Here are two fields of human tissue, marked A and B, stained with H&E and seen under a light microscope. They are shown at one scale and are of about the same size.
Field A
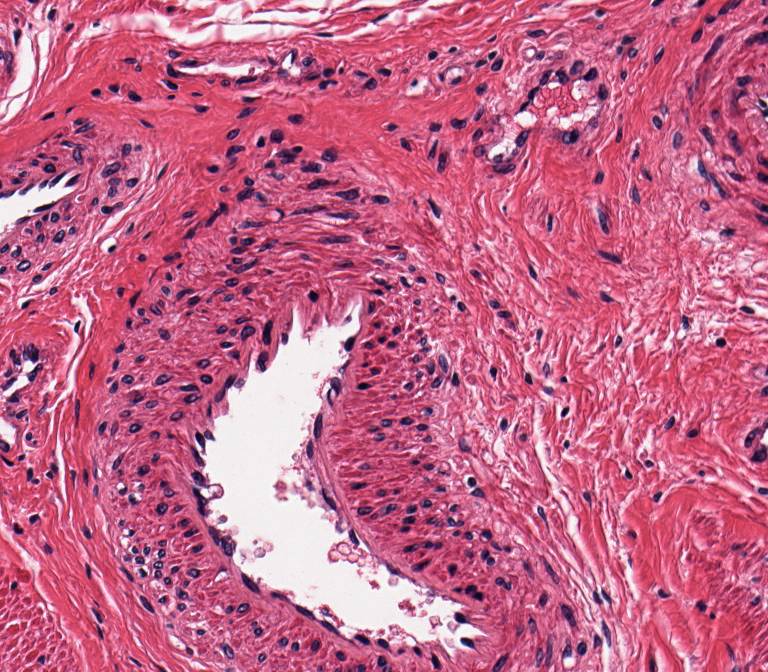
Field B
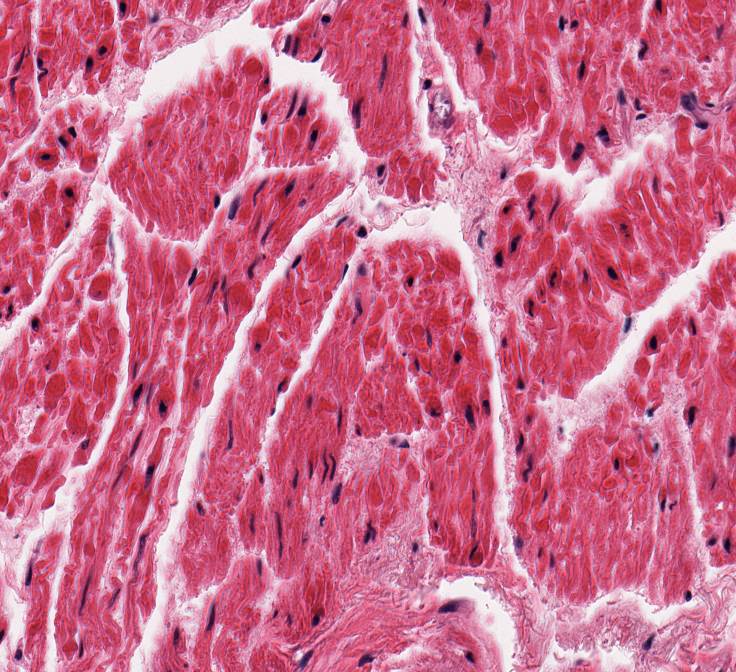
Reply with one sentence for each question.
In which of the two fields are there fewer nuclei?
It is field B that has fewer nuclei in it.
